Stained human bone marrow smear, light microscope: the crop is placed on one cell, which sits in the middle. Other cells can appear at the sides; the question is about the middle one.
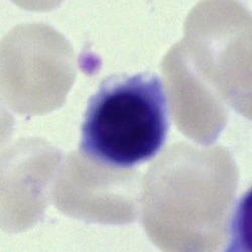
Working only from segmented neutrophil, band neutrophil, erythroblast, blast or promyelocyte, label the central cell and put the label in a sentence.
As for the central cell, it is an erythroblast.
